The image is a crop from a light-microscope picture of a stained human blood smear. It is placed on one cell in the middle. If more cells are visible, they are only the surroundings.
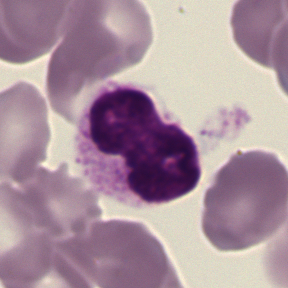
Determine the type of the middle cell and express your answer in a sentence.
Of the cells in this crop, the central one is a segmented neutrophil.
